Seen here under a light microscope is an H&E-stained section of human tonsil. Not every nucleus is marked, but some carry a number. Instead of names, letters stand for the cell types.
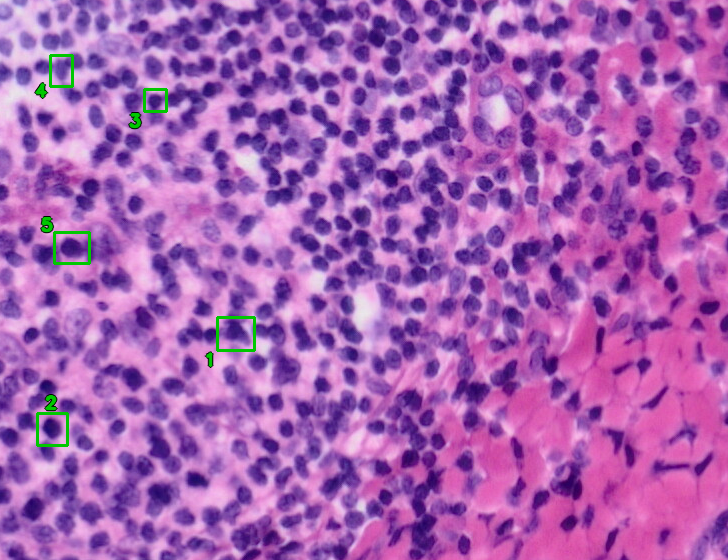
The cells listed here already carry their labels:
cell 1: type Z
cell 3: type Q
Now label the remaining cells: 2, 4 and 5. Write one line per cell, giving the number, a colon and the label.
2: type Z
4: type Q
5: type Z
